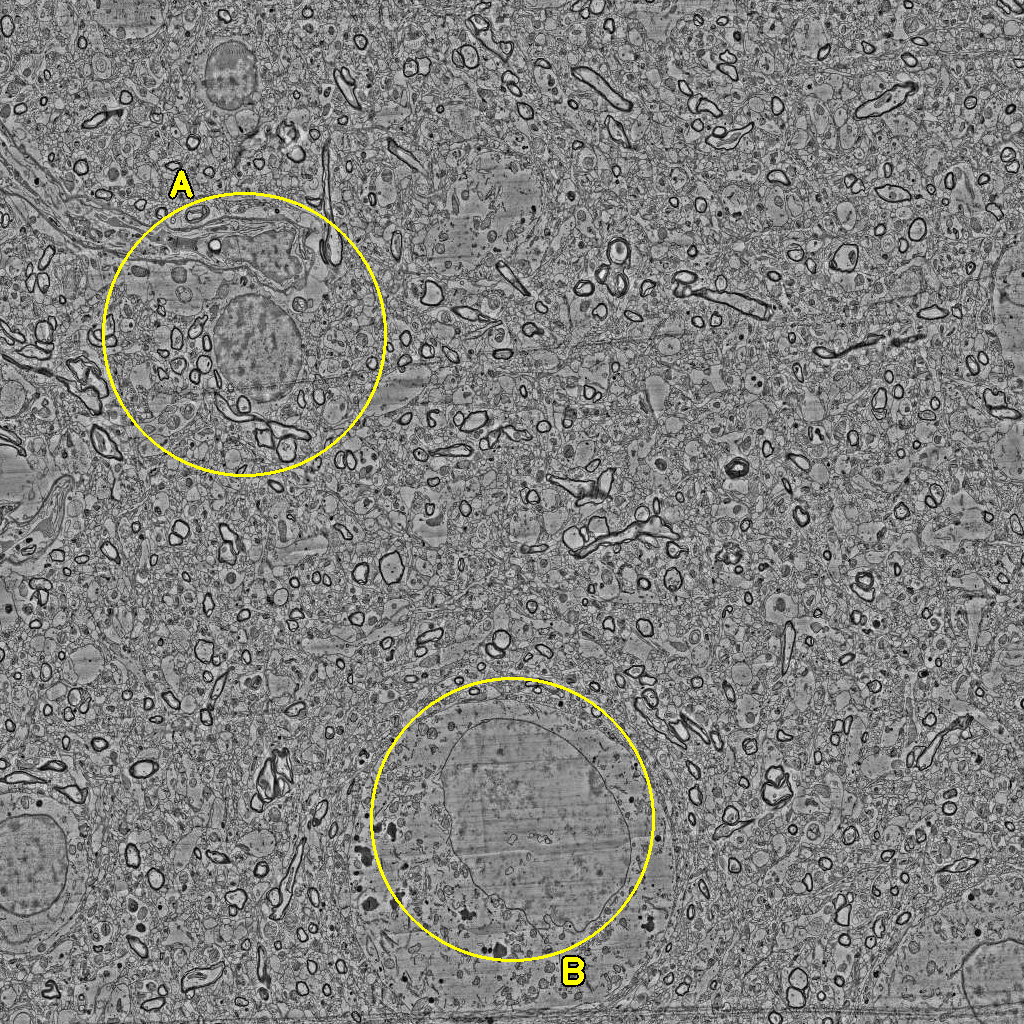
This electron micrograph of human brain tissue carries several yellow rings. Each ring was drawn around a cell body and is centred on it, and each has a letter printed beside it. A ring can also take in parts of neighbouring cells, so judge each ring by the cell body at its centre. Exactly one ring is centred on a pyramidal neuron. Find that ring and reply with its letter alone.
B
